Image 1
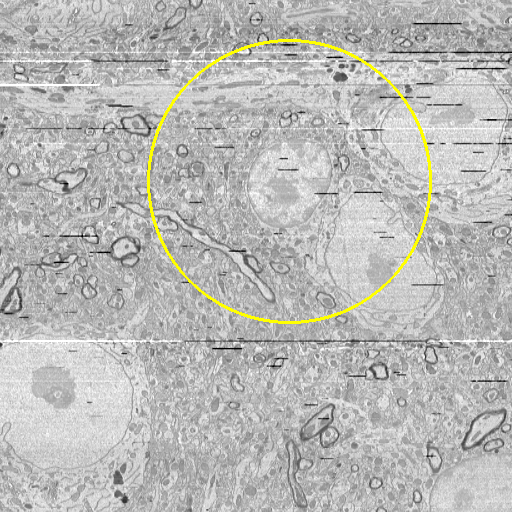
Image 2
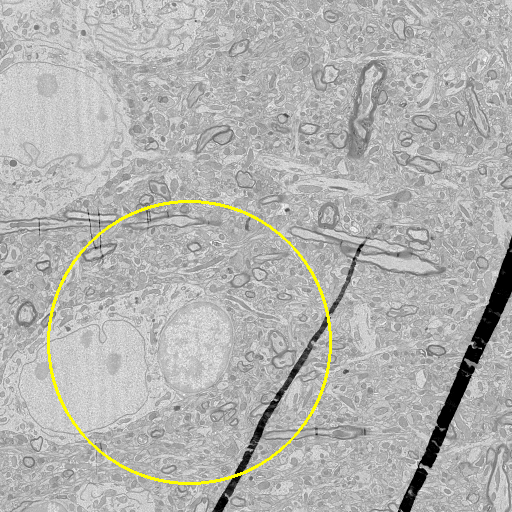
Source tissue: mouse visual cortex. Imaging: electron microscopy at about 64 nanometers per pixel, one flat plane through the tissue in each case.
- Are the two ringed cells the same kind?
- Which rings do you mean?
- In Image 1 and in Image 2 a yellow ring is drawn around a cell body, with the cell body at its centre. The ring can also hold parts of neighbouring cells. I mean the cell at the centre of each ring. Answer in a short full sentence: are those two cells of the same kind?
Yes, both cells are of the same kind.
